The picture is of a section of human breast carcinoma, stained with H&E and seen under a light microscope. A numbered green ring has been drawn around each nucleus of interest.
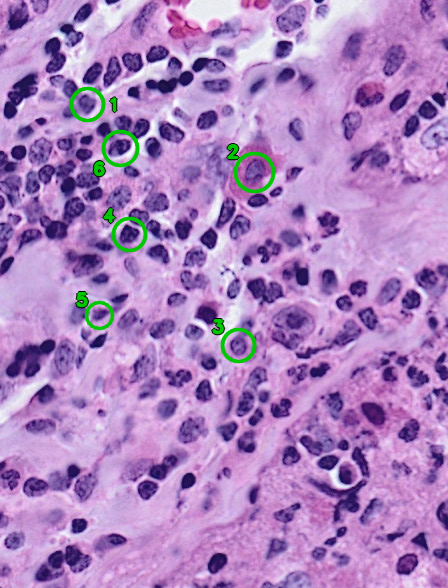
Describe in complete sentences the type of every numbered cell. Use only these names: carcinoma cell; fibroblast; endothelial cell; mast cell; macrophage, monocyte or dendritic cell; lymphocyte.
Cells 1, 4, 5 and 6 are lymphocytes. Cell 2 is a mast cell. Cell 3 is a macrophage, monocyte or dendritic cell.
